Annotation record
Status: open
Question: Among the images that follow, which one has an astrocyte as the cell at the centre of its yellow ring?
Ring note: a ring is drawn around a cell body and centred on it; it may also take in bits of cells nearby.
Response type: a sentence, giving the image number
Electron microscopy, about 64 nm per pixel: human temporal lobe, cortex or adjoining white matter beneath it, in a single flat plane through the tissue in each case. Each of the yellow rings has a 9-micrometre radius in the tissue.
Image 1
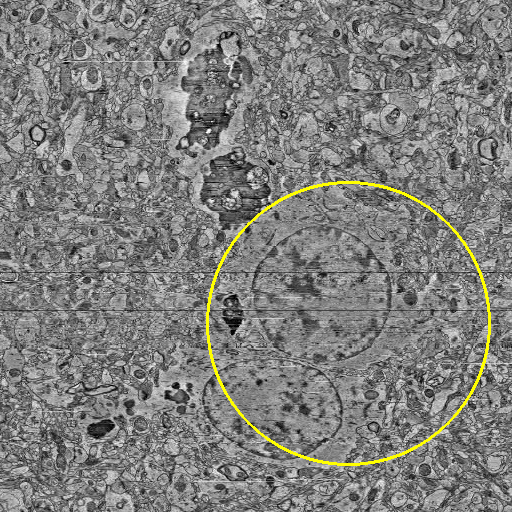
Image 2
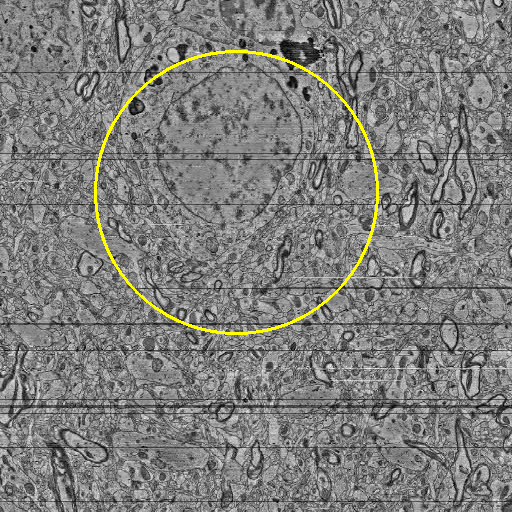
Image 1 shows it at the centre of its ring.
